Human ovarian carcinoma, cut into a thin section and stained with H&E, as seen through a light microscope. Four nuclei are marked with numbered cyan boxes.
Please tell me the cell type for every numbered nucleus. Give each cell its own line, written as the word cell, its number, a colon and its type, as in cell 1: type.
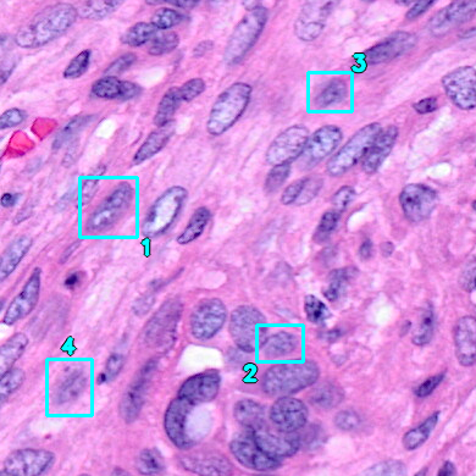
cell 1: fibroblast
cell 2: carcinoma cell
cell 3: fibroblast
cell 4: fibroblast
